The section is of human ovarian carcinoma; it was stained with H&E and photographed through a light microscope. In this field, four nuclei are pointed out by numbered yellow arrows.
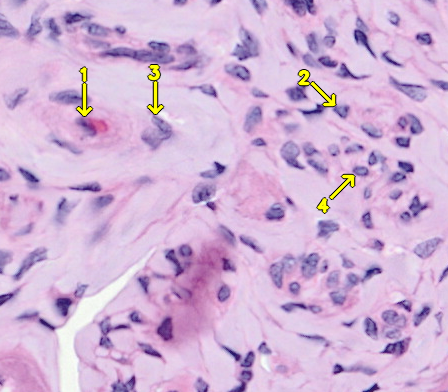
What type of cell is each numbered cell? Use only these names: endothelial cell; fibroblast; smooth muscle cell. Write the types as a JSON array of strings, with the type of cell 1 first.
["endothelial cell", "smooth muscle cell", "fibroblast", "smooth muscle cell"]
